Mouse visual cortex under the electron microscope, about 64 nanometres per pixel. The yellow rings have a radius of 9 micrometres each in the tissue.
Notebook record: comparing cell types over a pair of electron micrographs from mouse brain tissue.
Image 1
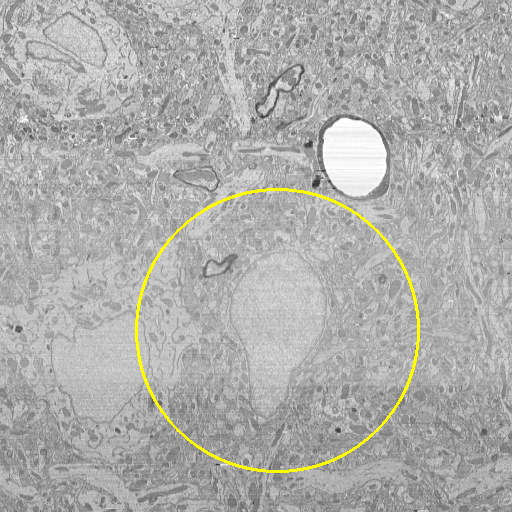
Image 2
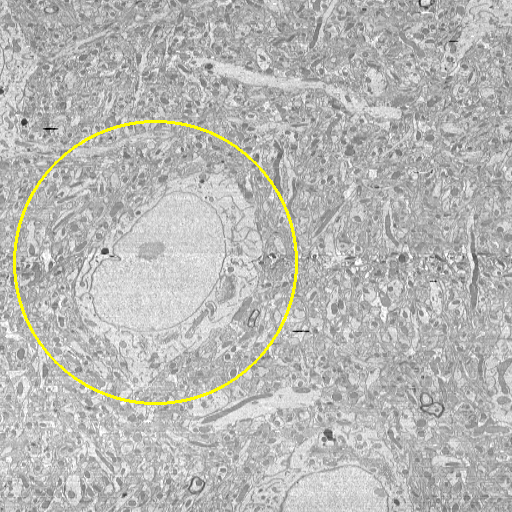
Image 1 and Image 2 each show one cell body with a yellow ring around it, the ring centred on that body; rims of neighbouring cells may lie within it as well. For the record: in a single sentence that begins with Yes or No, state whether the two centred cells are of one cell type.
No, two cell types are found among the centred cells of Image 1 and Image 2.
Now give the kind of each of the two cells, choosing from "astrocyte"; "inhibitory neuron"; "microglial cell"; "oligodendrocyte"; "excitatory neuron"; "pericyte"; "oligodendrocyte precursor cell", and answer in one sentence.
The cell in the first picture is an astrocyte, and the cell in the second is an excitatory neuron.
